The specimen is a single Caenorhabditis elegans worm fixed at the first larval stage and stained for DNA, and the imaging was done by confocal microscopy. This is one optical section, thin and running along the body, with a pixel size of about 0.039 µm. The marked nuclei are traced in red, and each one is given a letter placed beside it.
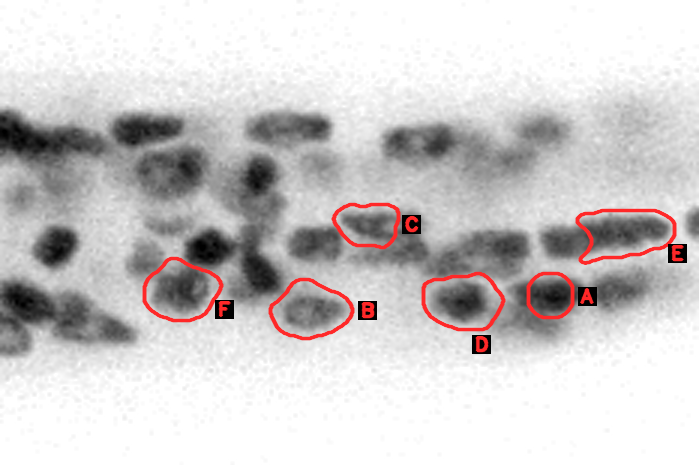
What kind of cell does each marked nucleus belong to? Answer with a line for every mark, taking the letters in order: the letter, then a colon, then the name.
A: glial cell (sheath or socket)
B: hypodermal cell (hyp)
C: pharyngeal muscle cell
D: glial cell (sheath or socket)
E: pharyngeal muscle cell
F: pharyngeal muscle cell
